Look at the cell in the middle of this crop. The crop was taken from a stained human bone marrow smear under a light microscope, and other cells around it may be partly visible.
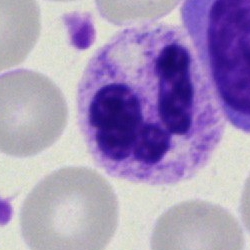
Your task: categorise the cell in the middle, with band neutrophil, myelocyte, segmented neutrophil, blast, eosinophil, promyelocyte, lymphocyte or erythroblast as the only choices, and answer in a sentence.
The cell that lies at the centre of the crop is a segmented neutrophil.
